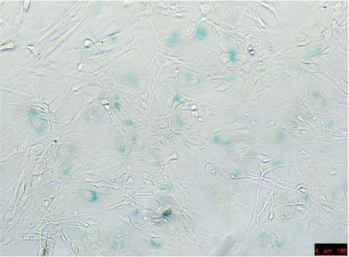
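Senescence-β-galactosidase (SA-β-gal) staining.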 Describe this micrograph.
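A monolayer of cultured cells in brightfield, mostly elongated spindle-shaped cells with thin processes lying in a loose network. Only some cells show a pale blue-green stain near the nucleus, and most remain unstained.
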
